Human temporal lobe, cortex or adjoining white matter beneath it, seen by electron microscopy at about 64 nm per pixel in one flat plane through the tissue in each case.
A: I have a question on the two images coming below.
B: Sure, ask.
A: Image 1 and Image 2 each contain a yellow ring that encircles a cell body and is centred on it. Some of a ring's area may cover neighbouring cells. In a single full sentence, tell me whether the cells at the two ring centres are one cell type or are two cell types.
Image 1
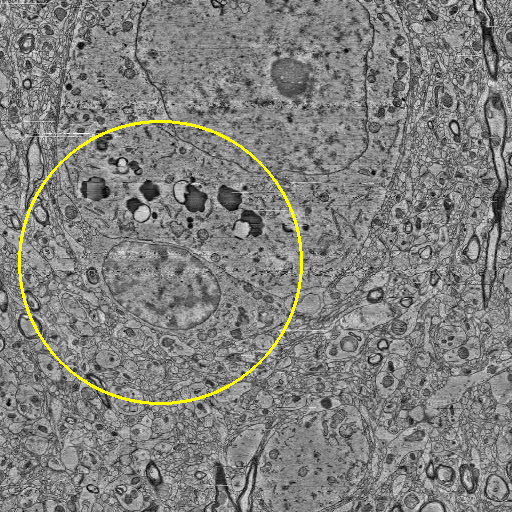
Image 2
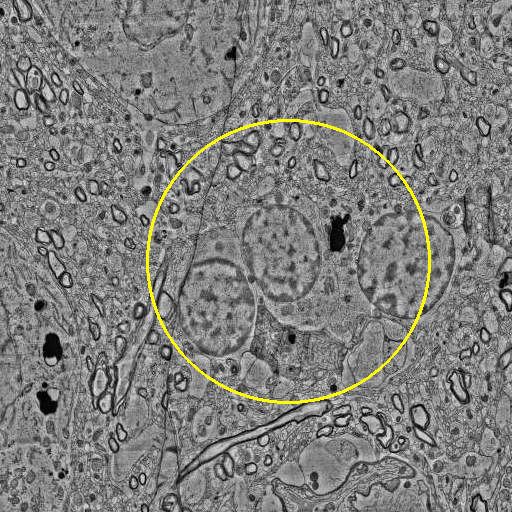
As for the ring-centre cells, the one in Image 1 and the one in Image 2 are one cell type.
